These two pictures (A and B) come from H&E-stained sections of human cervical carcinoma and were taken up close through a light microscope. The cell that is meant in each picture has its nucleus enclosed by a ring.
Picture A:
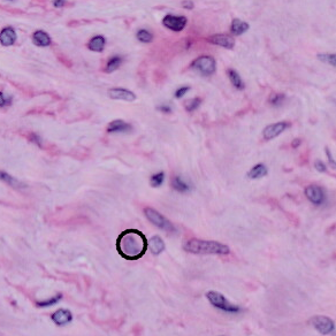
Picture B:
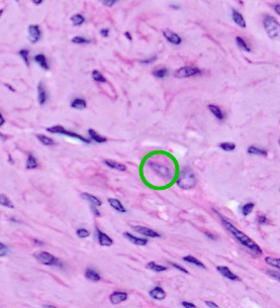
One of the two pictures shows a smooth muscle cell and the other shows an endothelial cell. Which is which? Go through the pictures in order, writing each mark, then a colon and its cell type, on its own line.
A: smooth muscle cell
B: endothelial cell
